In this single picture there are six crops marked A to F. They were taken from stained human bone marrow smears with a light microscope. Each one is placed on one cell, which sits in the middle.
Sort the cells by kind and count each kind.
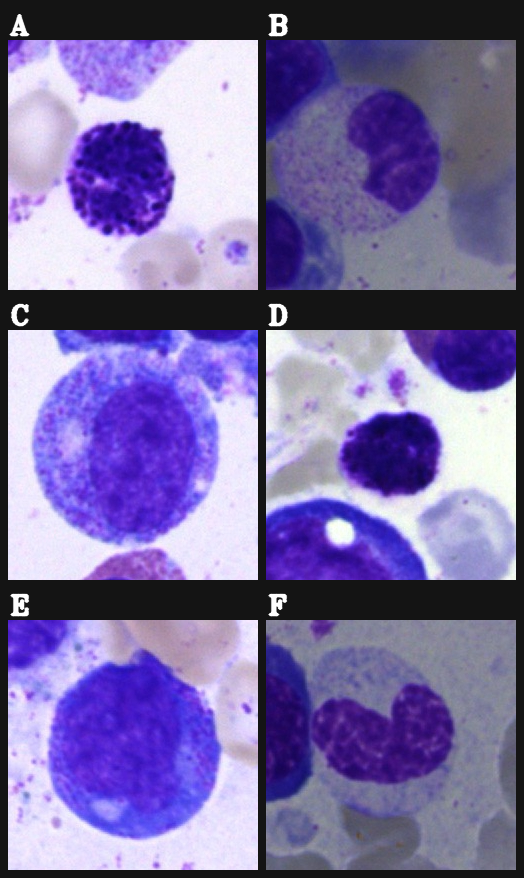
basophil: 2
metamyelocyte: 2
promyelocyte: 2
